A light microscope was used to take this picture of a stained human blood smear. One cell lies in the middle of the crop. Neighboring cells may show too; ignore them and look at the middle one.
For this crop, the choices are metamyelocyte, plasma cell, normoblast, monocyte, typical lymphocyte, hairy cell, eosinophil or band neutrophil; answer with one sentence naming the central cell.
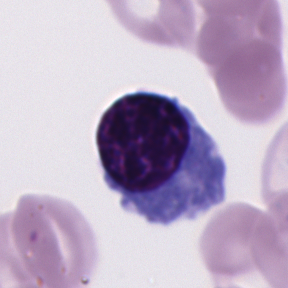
The centrally placed cell is classified as a normoblast.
